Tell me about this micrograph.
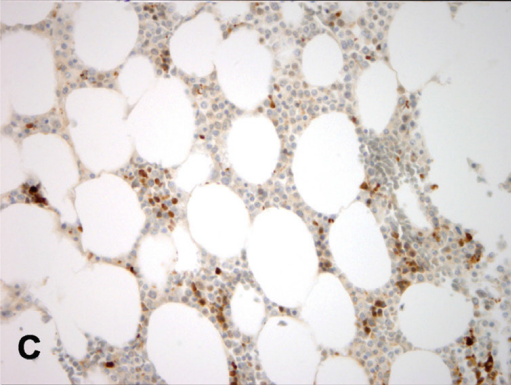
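This is bone marrow, where large round empty spaces left by fat cells alternate with cords of blood-forming cells. The hematopoietic cells between the fat spaces are small and round, tightly packed, with round nuclei. A fair number of these cells have a brown-stained cytoplasm, scattered singly and in small groups. The fat spaces themselves are bounded by thin membranes and contain no stain.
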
